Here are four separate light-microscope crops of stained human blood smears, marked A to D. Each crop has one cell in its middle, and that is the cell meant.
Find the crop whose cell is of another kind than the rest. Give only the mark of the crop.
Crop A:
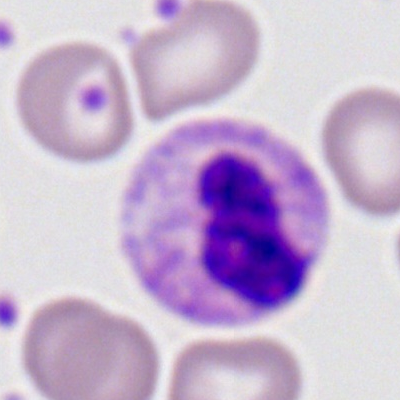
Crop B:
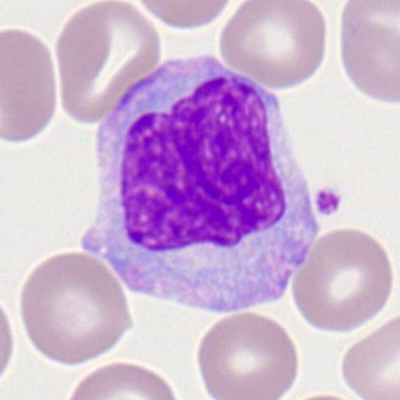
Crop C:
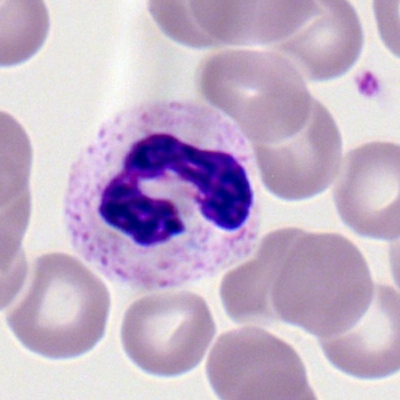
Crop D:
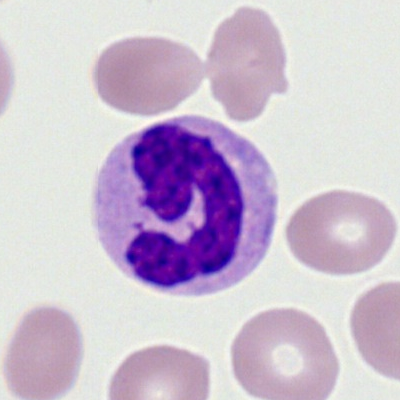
B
